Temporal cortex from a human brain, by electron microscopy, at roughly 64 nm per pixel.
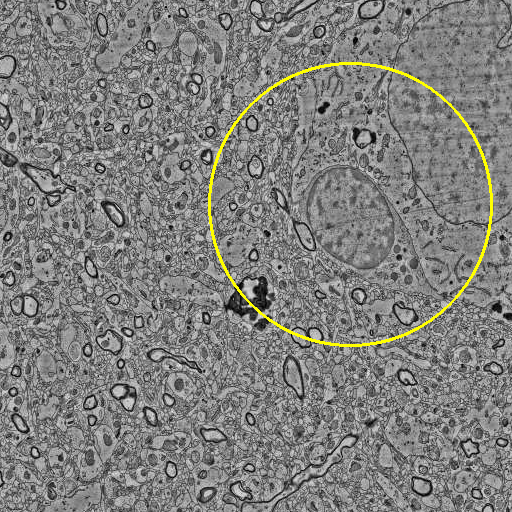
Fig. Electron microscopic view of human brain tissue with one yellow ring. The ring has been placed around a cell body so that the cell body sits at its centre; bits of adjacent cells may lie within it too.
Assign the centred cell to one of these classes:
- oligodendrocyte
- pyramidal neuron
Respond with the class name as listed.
oligodendrocyte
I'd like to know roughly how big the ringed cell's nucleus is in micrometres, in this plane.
In this plane the nucleus measures roughly 7 by 5 micrometres.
